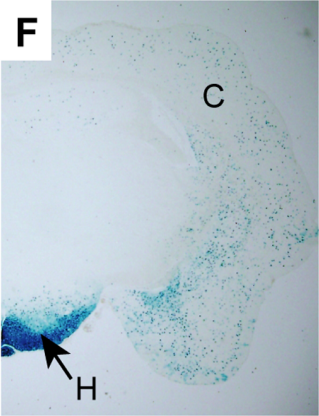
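This low-power coronal section of the brain shows a dense, solid blue region at the ventral edge of the section, in the hypothalamus. Above and beside it, many small, separate blue dots are scattered through the unstained tissue, reaching up into the cortex. The dots are most crowded in the ventral and lateral parts of the section and thin out dorsally and medially.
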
